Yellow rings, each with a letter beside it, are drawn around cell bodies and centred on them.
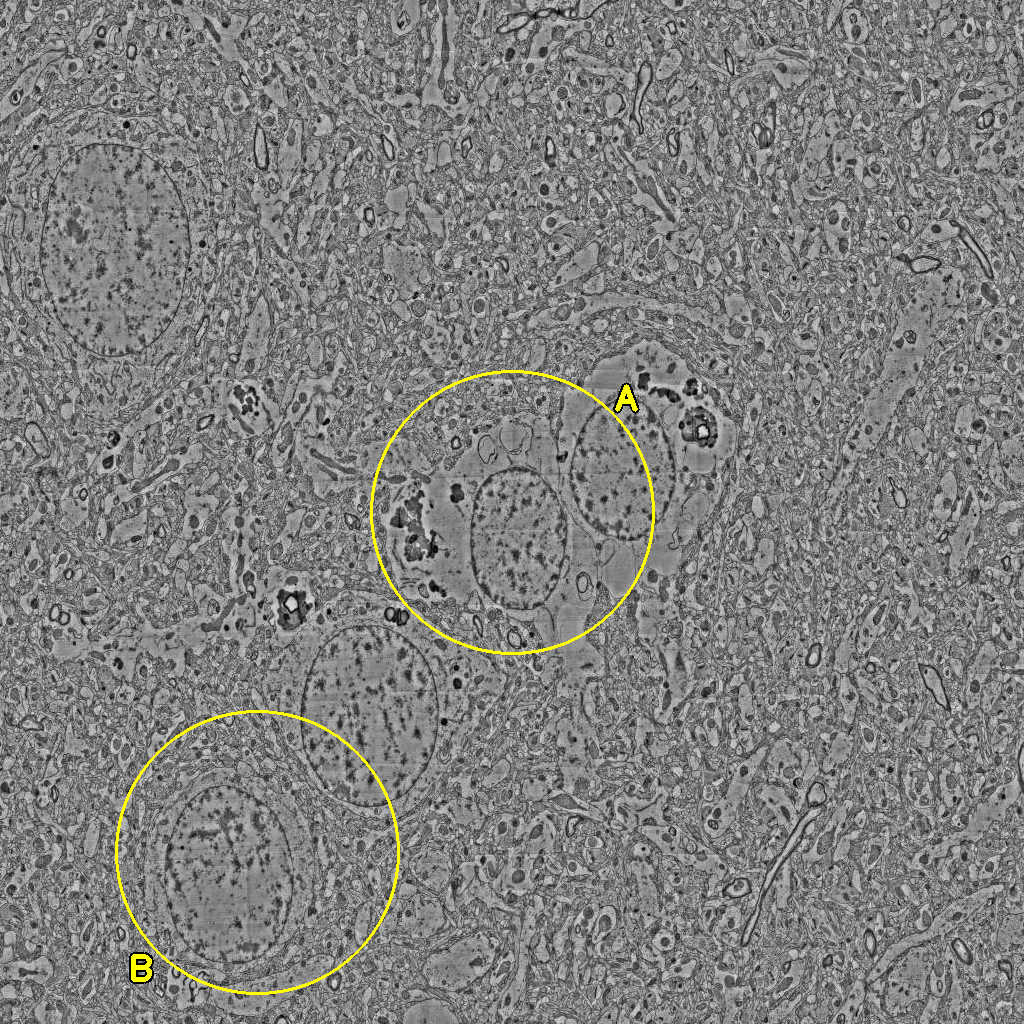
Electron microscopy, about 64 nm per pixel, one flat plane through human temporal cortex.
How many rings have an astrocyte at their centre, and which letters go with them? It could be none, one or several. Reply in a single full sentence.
There is one ring, and one only, centred on an astrocyte, and it is lettered A.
